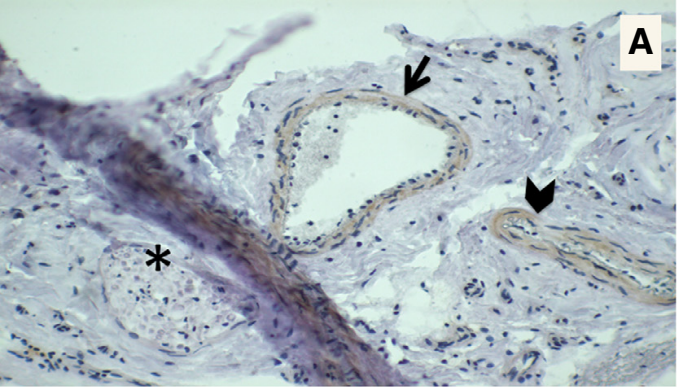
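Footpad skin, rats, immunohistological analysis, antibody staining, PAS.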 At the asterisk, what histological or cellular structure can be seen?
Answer: Peripheral nerve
